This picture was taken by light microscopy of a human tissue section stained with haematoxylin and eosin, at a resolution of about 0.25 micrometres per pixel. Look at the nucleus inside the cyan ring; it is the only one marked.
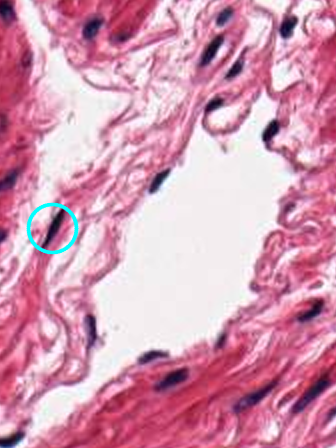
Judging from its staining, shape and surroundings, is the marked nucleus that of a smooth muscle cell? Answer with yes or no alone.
no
